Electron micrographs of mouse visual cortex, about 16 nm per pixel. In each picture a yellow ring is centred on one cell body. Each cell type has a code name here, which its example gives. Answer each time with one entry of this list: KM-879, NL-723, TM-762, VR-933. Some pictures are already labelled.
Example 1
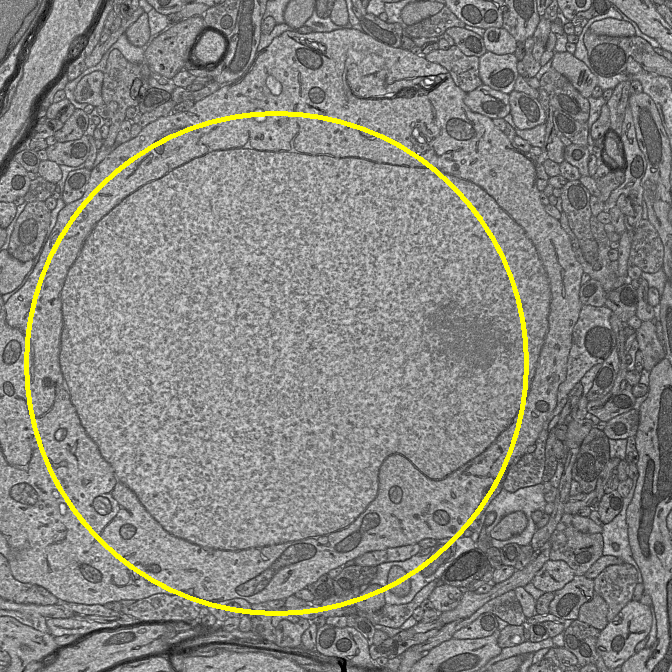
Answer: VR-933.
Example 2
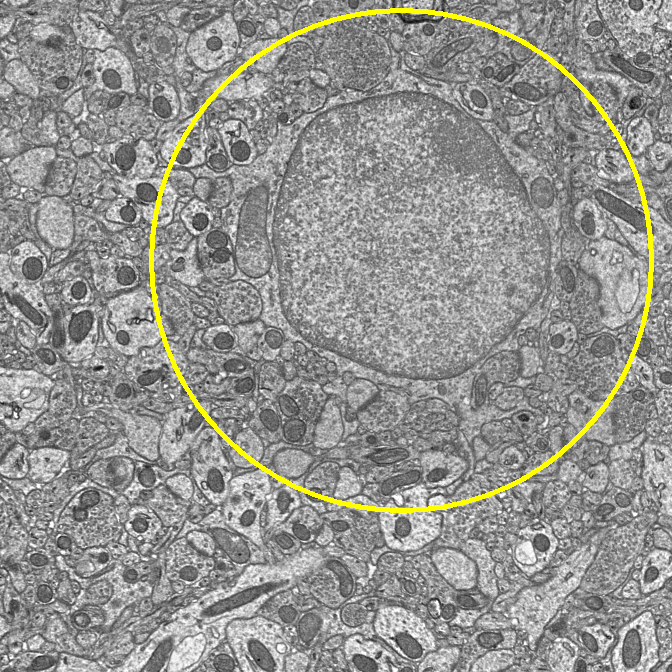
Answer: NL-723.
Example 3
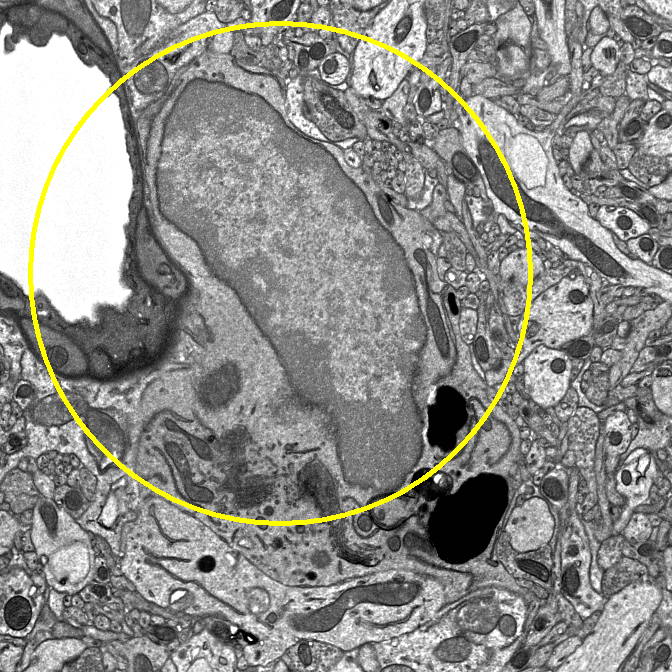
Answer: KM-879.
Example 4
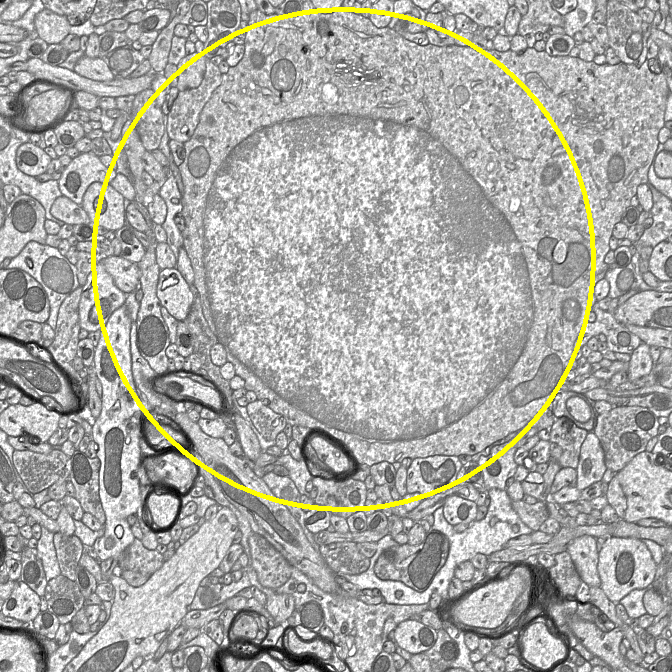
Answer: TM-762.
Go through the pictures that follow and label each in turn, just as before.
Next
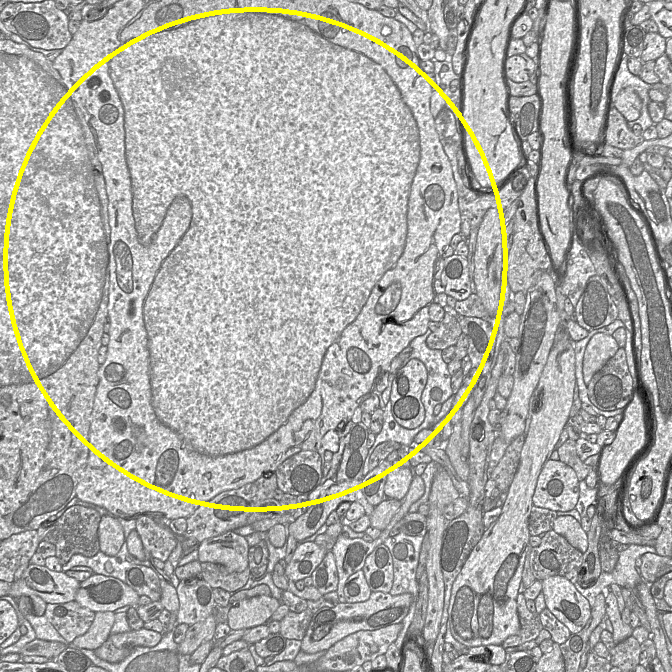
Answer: VR-933.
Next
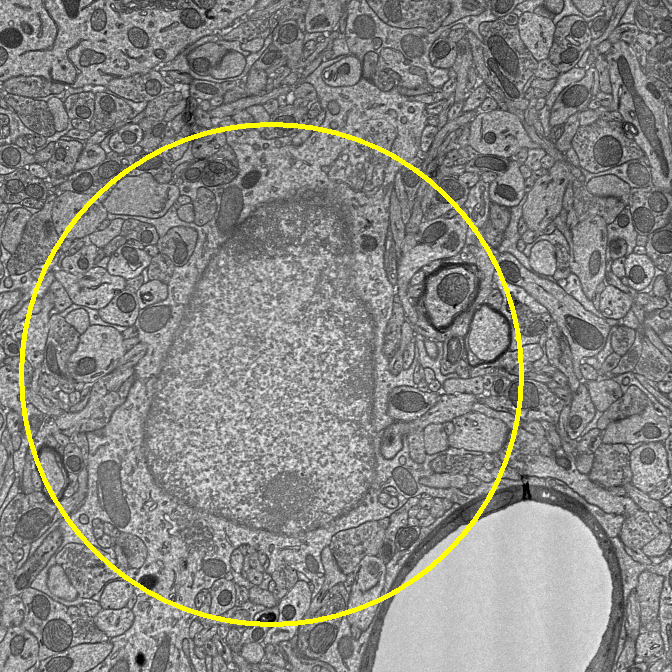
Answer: NL-723.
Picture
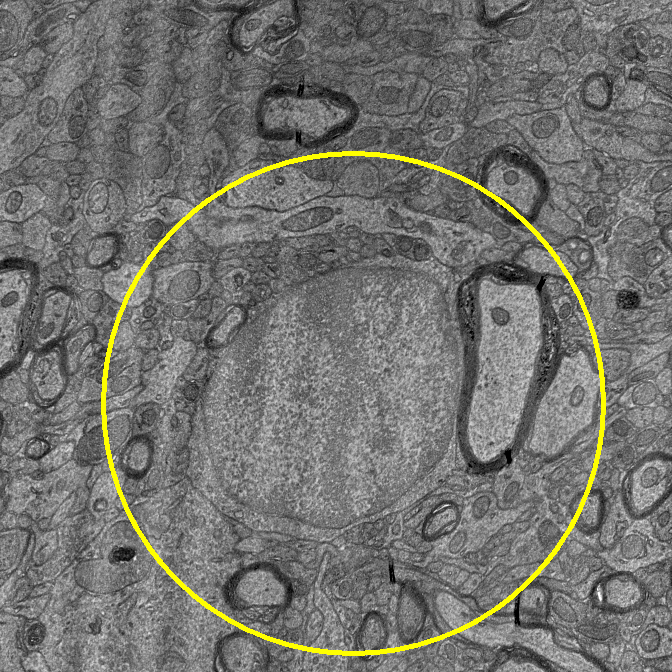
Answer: TM-762.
